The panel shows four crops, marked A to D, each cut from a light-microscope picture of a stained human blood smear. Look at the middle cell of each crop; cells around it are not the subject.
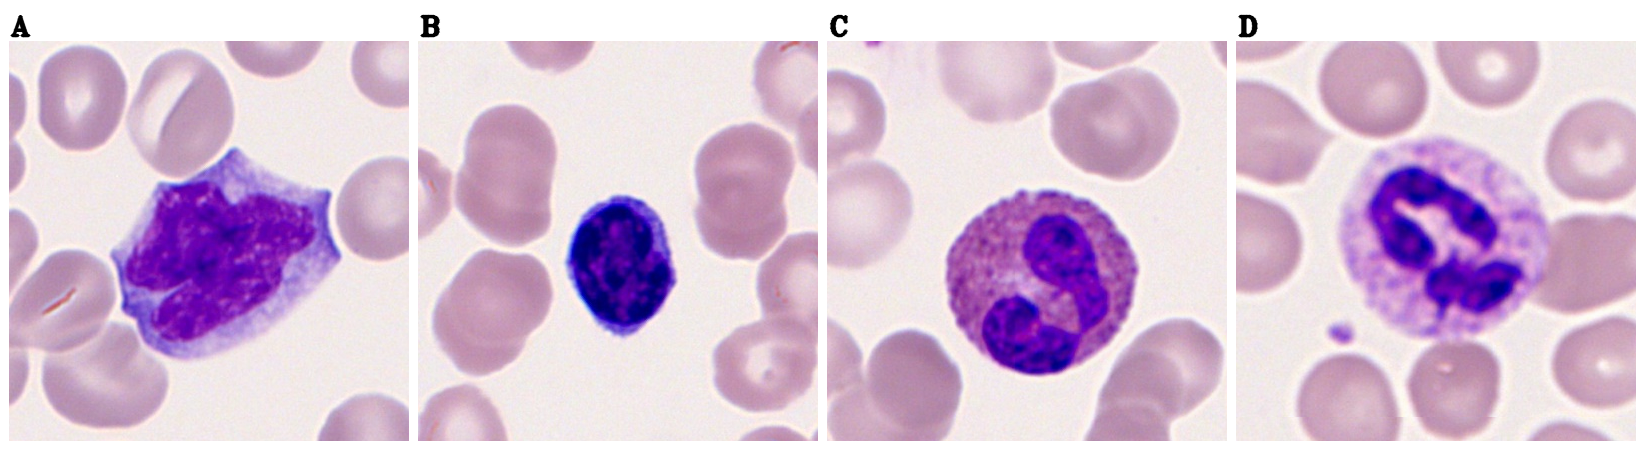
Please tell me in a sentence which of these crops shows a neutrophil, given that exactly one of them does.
Crop D, of the crops presented, is the one showing a neutrophil.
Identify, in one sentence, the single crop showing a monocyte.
As for which crop shows a monocyte, it is crop A.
